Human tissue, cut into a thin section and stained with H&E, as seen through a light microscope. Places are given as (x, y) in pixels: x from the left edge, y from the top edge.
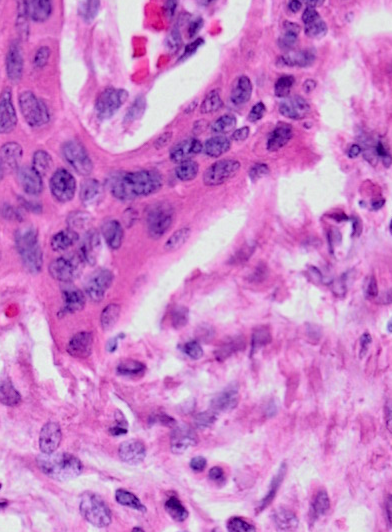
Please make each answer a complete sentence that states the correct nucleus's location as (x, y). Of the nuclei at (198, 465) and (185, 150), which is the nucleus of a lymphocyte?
Of the two nuclei, the nucleus of a lymphocyte is at (198, 465).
